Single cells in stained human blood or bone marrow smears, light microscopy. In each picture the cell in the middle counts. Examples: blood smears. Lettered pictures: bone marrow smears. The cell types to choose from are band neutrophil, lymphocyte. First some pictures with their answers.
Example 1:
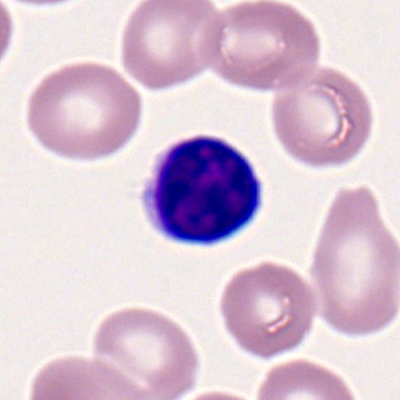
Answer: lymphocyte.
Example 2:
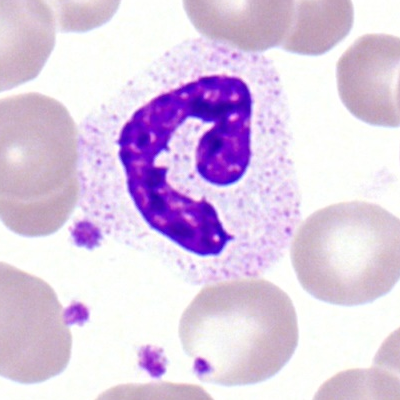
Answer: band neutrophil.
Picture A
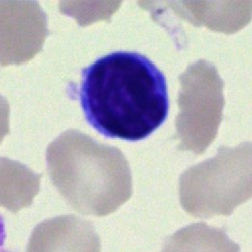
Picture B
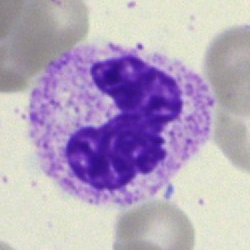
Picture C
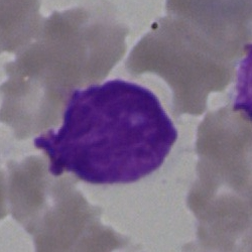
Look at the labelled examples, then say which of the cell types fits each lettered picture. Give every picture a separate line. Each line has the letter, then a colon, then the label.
A: lymphocyte.
B: band neutrophil.
C: lymphocyte.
